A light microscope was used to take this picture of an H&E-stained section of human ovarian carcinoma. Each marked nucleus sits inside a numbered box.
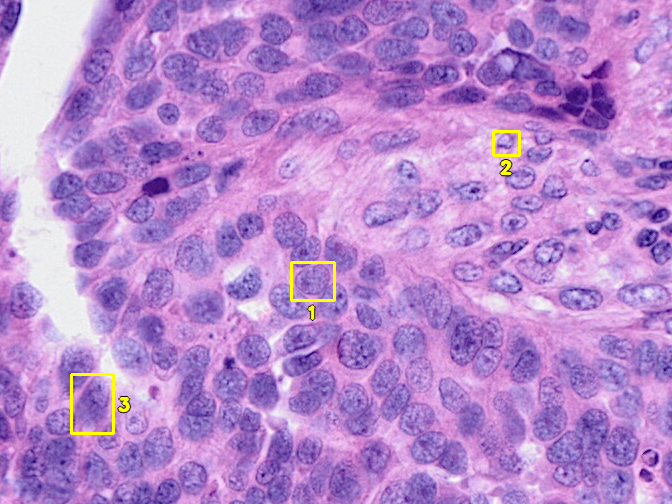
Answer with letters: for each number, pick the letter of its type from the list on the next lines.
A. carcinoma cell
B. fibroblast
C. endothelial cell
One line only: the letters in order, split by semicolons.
A; B; A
